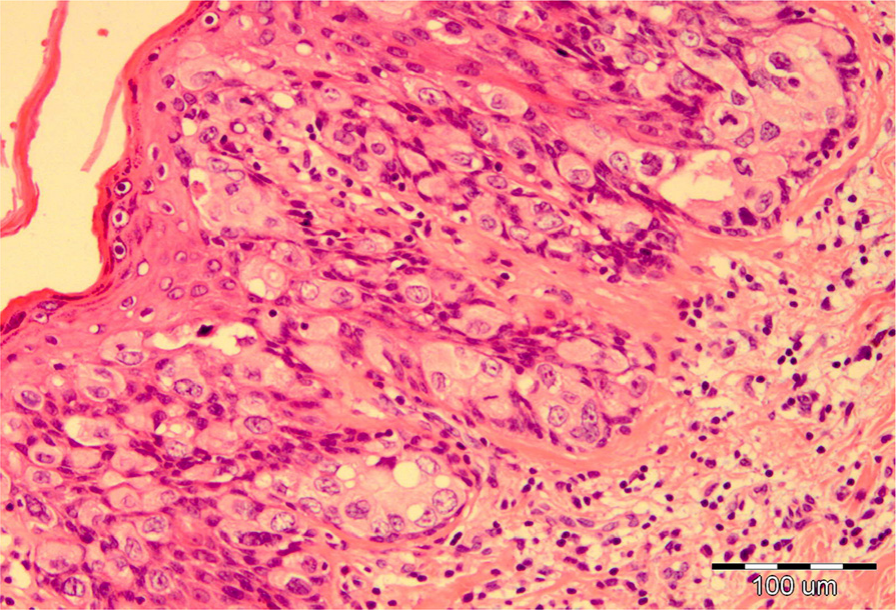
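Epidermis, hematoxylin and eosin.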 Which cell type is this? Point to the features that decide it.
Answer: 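Large rounded cells with pale, clear to pinkish cytoplasm are scattered singly and in nests within the epidermis. These large cells have big oval nuclei with visible nucleoli, unlike the small dark surrounding keratinocyte nuclei. The pale cells are present through much of the epidermal thickness, up to beneath the surface layer.
Hence: Paget cells.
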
